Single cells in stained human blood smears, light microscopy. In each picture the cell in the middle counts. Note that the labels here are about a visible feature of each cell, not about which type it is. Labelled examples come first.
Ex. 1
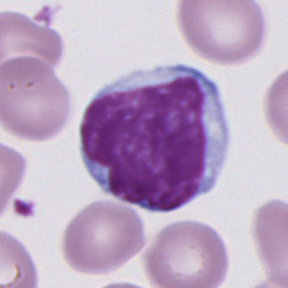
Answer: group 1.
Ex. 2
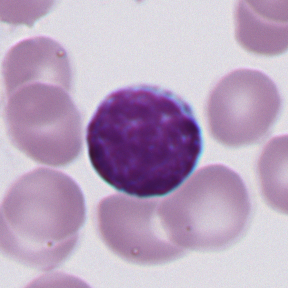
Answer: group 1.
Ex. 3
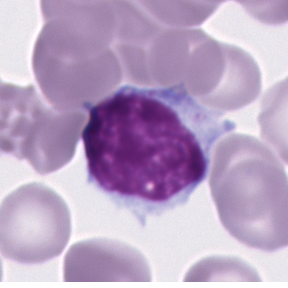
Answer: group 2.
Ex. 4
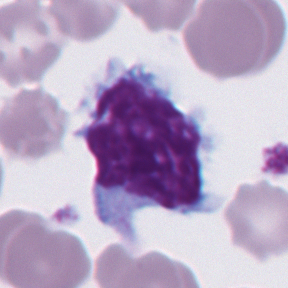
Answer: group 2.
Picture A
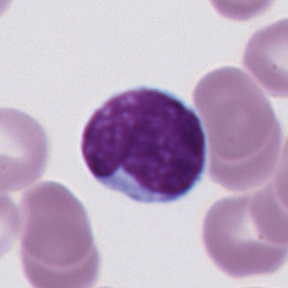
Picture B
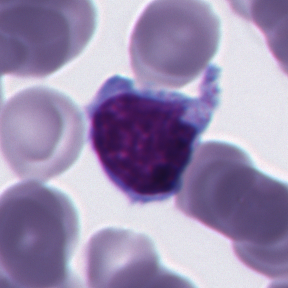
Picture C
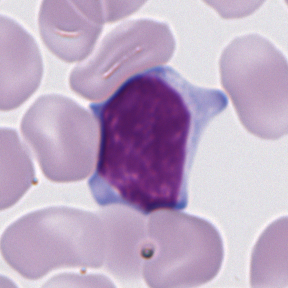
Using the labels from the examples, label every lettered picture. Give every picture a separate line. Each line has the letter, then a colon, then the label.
A: group 1.
B: group 2.
C: group 2.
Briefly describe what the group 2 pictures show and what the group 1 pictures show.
Seen in group 2: ragged outline or projections; seen in group 1: smooth outline.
